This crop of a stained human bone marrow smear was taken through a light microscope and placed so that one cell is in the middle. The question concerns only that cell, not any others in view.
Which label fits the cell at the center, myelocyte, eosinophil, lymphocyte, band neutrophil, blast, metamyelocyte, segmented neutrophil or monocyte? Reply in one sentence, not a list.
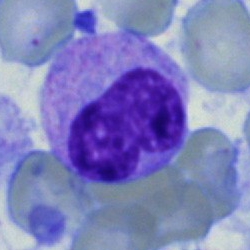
Whatever else lies nearby, the middle cell is a metamyelocyte.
